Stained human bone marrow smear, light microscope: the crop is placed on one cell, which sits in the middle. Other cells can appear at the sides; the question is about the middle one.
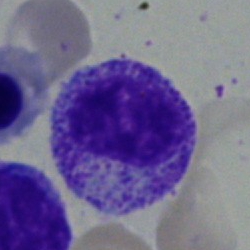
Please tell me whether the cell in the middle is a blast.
no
